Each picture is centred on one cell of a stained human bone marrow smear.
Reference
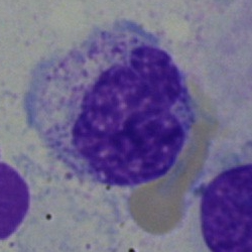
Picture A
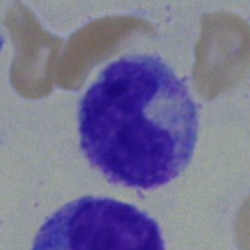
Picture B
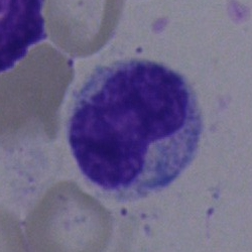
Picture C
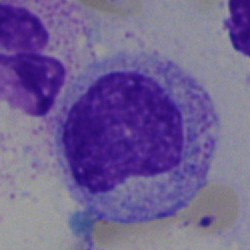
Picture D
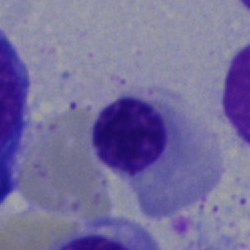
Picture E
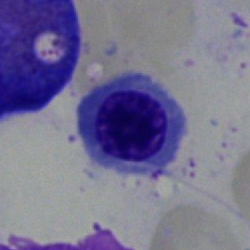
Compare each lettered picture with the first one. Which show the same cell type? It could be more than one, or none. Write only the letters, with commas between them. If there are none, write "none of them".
A, B, C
